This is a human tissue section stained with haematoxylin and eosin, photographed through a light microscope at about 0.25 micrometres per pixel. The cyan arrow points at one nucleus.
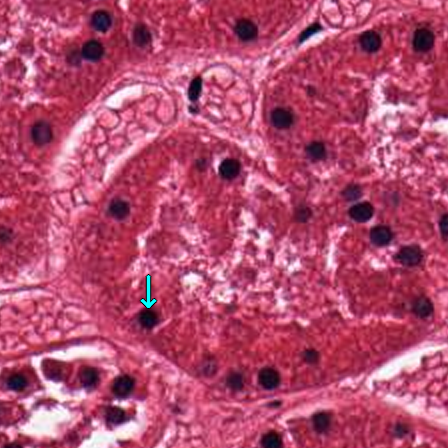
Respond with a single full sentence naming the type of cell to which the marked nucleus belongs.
The marked nucleus is located in a proximal tubule cell.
